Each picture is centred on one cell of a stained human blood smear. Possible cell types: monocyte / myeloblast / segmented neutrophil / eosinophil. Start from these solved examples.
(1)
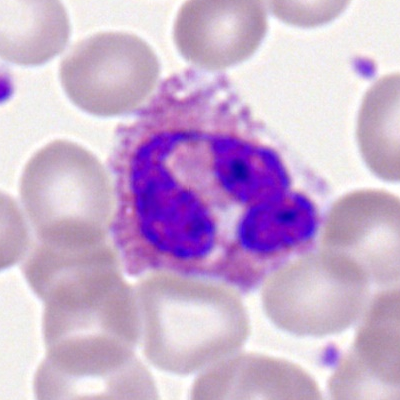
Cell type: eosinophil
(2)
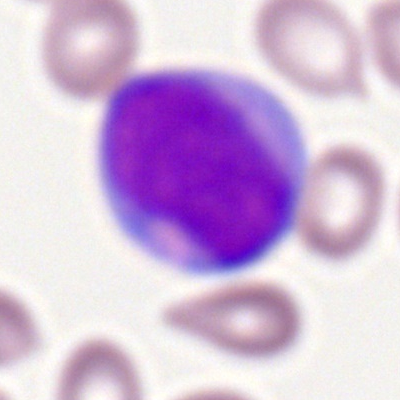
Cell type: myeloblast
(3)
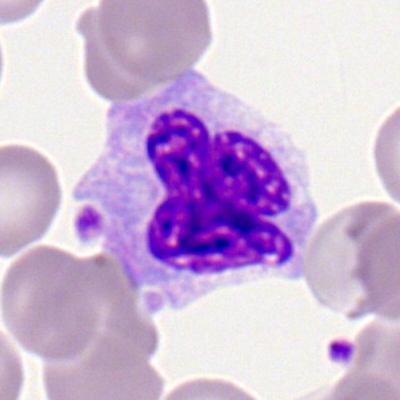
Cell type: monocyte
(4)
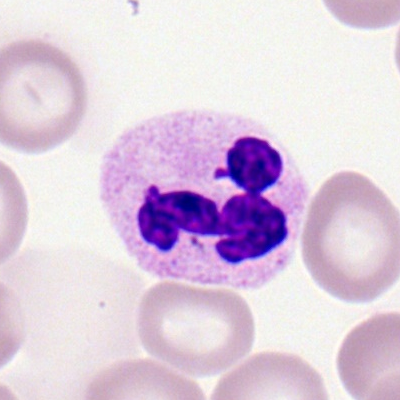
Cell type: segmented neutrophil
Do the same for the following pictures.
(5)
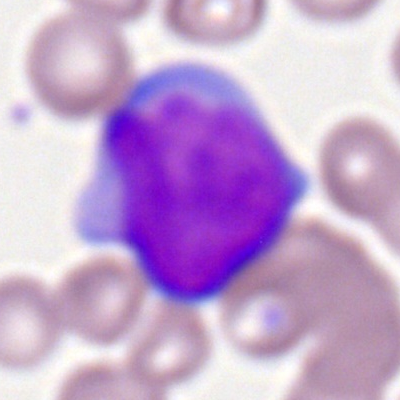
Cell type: myeloblast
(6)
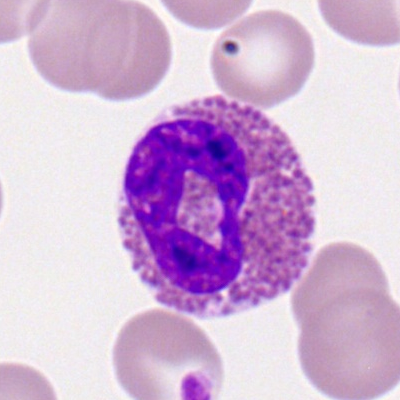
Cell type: eosinophil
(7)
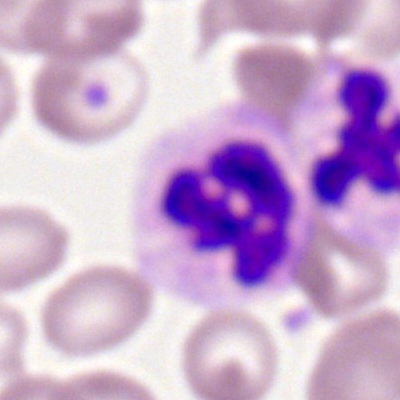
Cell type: segmented neutrophil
